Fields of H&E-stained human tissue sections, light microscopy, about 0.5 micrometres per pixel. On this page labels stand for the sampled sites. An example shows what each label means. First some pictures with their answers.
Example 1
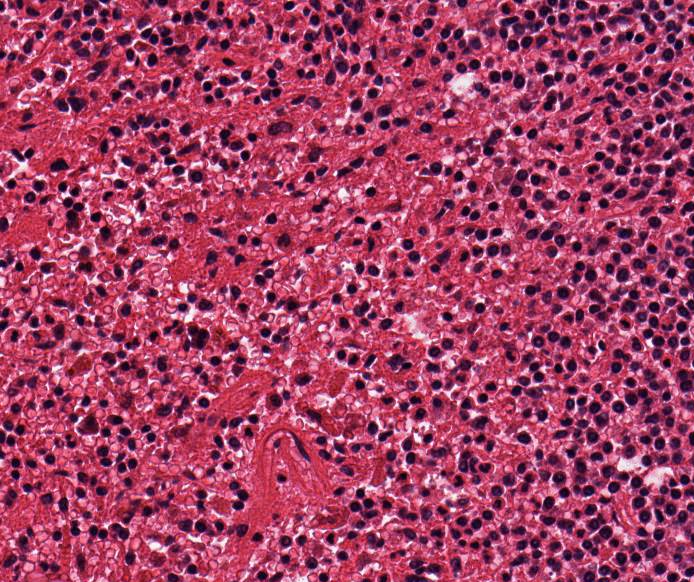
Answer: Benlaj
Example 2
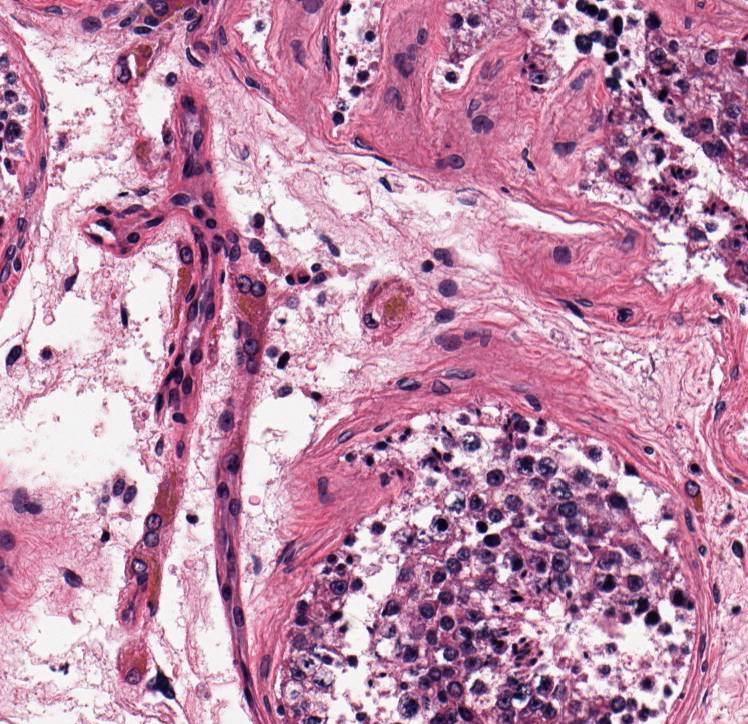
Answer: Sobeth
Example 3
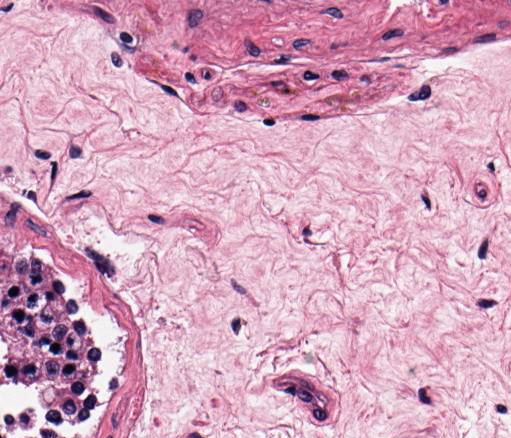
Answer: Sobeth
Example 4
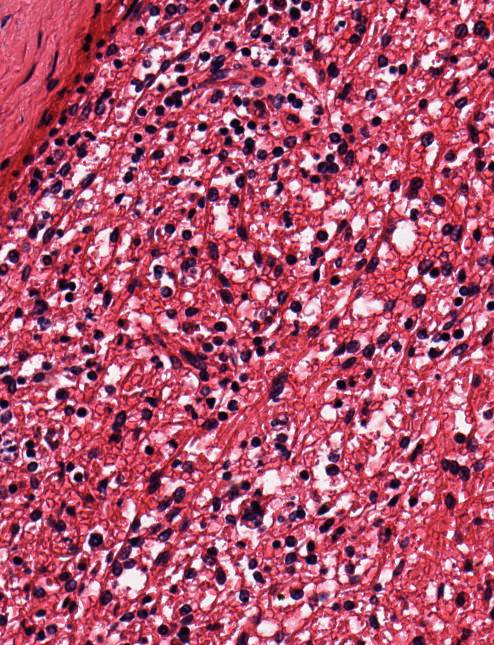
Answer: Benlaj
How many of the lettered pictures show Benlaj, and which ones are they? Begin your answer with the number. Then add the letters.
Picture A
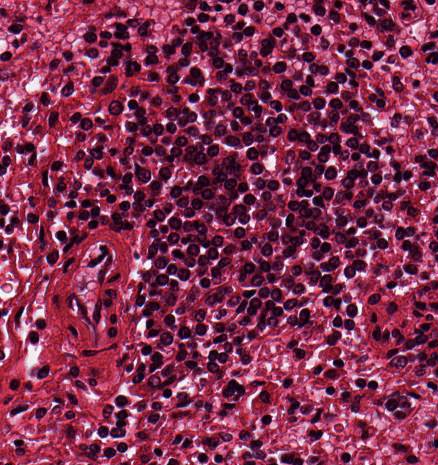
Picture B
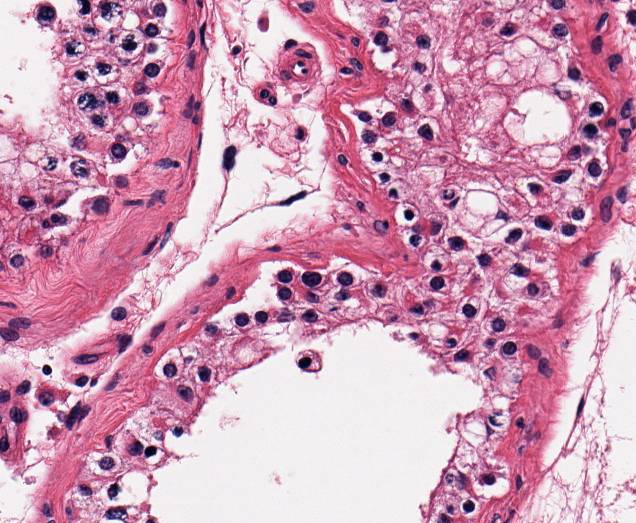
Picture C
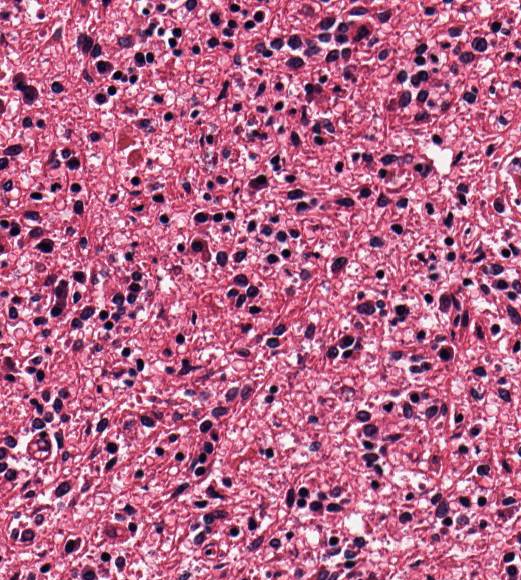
2: A, C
